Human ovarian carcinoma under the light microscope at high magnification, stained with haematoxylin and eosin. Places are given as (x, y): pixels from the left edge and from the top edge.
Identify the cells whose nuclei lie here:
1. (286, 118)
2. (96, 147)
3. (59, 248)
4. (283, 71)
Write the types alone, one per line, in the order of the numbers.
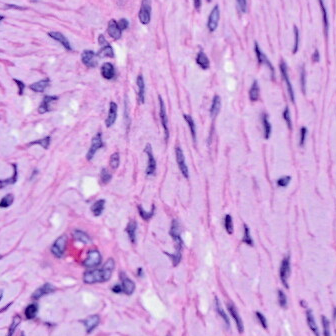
fibroblast
fibroblast
endothelial cell
fibroblast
